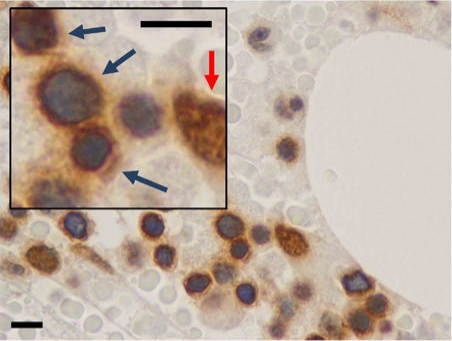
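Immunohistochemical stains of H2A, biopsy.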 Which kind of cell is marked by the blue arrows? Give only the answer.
Erythroblasts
